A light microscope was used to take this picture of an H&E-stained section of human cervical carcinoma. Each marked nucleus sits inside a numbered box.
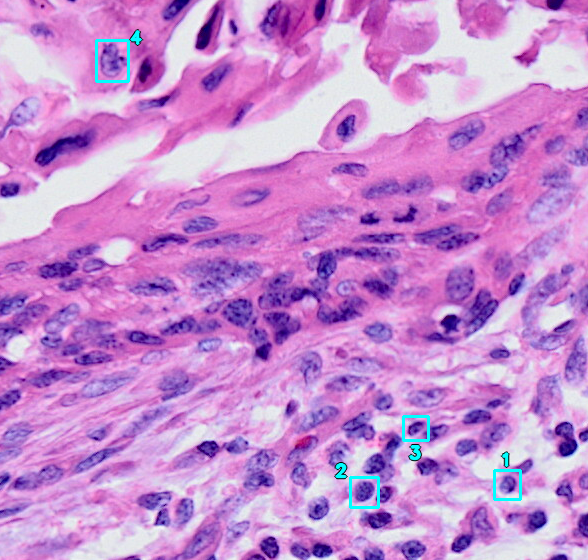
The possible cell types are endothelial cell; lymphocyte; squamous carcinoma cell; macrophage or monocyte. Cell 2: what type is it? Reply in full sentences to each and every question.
Cell 2, among those numbered, is a lymphocyte.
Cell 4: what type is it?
Classified as a squamous carcinoma cell is the cell with the number 4.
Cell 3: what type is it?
Heads up, the cell numbered 3 is a lymphocyte.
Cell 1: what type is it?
Denoted by the label 1 in the section is a lymphocyte.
